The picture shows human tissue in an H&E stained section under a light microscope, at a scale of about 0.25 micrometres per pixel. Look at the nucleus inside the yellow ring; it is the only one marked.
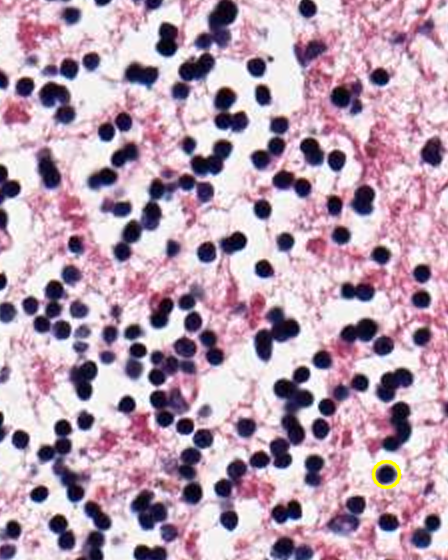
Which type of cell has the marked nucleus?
cerebellar granule cell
